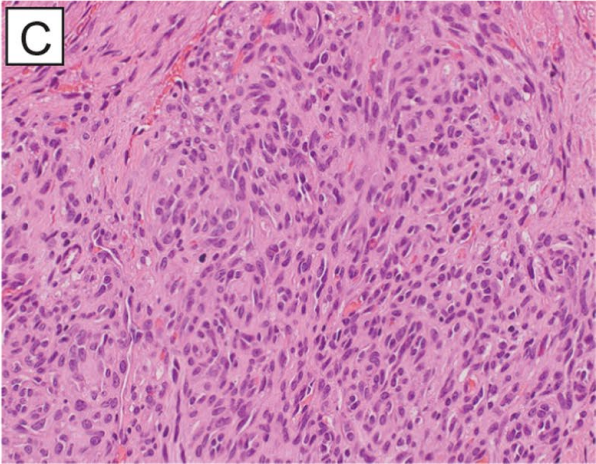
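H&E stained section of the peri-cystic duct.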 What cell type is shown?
spindle cells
